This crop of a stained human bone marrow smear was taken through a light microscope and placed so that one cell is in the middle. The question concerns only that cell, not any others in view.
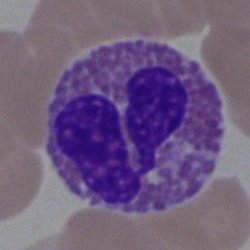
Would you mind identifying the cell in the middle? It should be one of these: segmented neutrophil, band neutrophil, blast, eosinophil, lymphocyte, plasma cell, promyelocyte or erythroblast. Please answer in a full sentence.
On this slide crop, the central cell is an eosinophil.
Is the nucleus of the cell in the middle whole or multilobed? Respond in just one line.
If you check the nucleus, you will find it split into two or more lobes.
